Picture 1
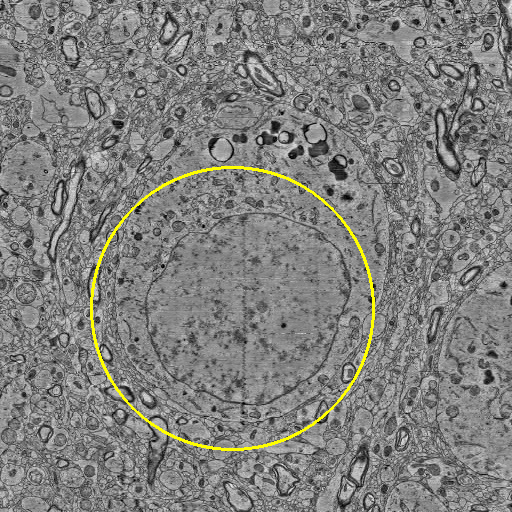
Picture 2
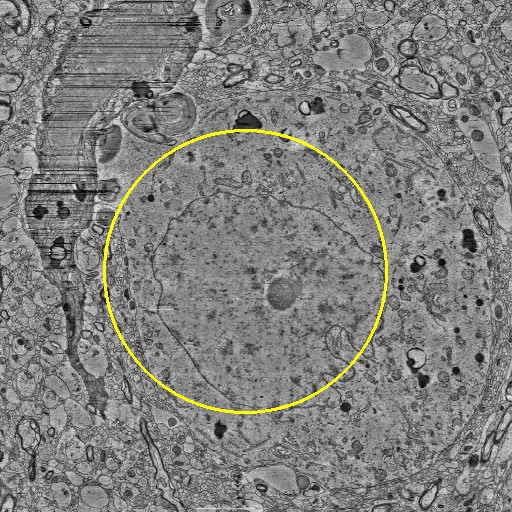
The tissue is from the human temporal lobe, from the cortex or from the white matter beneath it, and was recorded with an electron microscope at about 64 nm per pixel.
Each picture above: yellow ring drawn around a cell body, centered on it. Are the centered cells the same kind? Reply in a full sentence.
Yes, the two cells are the same kind.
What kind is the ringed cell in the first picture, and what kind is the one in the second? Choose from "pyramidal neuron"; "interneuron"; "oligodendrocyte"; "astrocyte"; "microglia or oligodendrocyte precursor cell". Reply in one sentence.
The second cell is a pyramidal neuron, just as the first is.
